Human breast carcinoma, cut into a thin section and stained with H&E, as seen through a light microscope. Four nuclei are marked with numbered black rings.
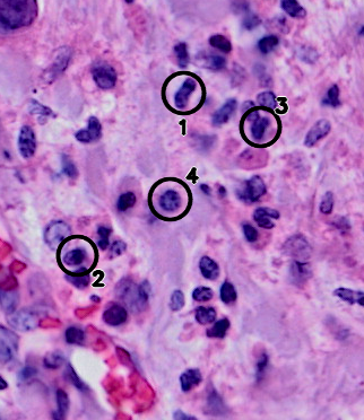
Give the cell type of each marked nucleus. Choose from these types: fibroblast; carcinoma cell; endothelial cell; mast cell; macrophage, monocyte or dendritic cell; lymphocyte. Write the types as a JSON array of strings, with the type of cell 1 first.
["lymphocyte", "lymphocyte", "lymphocyte", "mast cell"]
